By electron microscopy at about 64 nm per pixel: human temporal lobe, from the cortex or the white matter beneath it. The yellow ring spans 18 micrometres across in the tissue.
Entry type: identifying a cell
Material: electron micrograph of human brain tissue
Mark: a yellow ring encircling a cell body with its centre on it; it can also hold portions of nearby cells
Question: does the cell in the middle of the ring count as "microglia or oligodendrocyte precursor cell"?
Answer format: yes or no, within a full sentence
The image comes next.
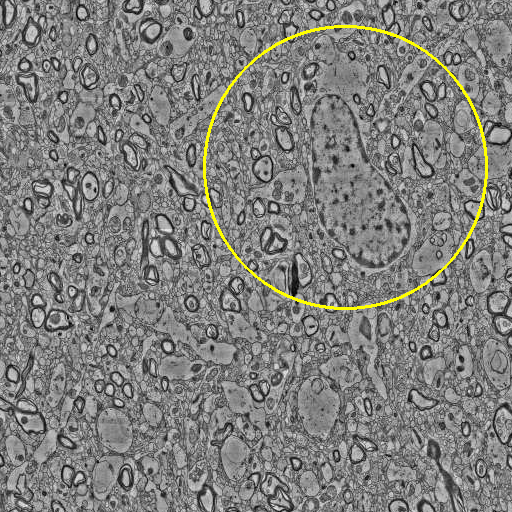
Yes, in the image, the cell in the middle of the yellow ring counts as the queried kind.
